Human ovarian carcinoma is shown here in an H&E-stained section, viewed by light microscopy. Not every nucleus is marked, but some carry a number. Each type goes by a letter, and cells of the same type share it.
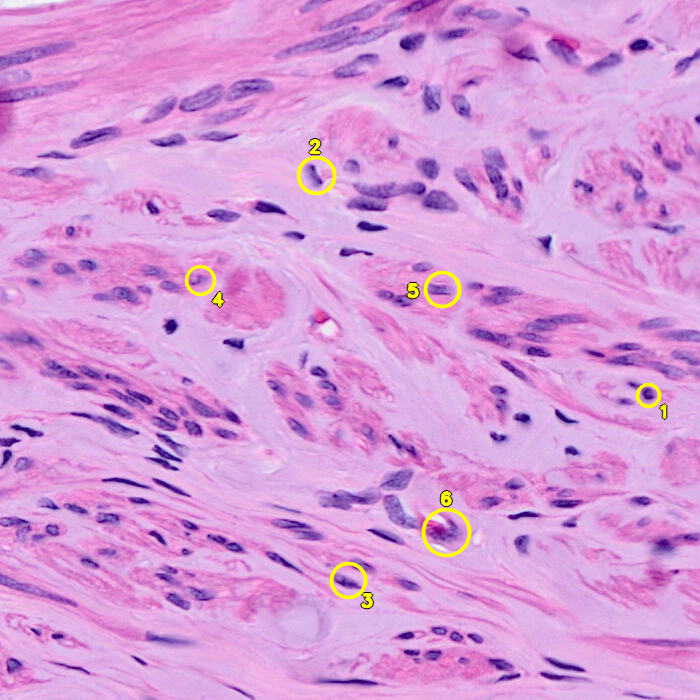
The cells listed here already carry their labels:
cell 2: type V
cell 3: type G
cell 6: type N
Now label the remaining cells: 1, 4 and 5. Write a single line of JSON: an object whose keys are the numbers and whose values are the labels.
{"1": "type G", "4": "type G", "5": "type G"}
